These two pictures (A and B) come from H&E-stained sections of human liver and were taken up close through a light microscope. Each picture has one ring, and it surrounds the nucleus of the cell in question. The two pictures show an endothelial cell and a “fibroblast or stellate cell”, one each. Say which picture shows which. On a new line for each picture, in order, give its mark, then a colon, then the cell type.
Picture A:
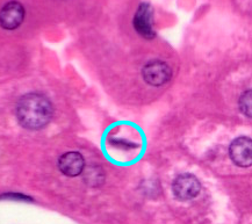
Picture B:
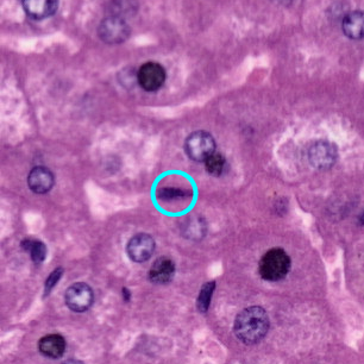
A: endothelial cell
B: fibroblast or stellate cell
